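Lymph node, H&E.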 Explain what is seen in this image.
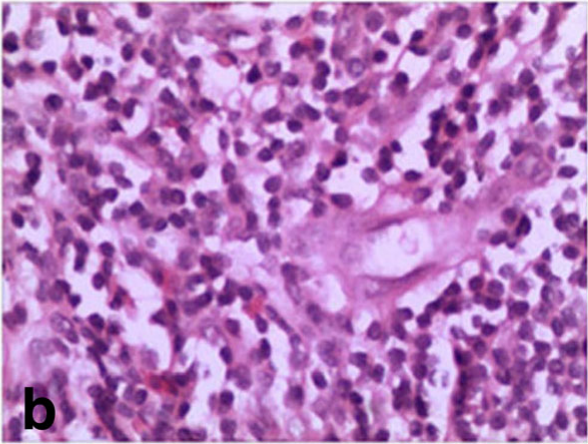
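At high power, many small round cells with dense dark purple nuclei and scant cytoplasm are crowded through the field, set in a loose pale background. In the middle lies a branching band of glassy, homogeneous pink material enclosing a small slit-like space, resembling a thickened, hyalinized small vessel. The small dark cells press up against this pink core and partly line up along it. A few scattered red blood cells are seen between the cells.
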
